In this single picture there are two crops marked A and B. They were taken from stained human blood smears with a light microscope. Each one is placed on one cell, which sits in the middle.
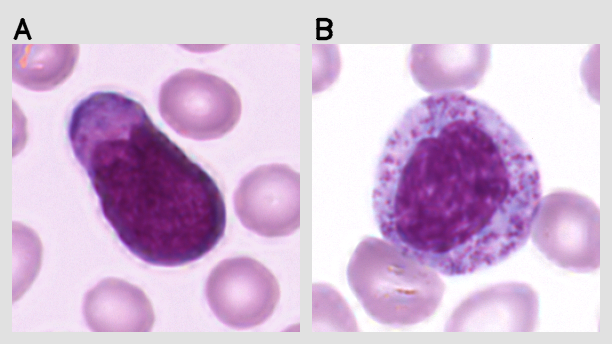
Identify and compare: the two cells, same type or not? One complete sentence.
No, it is an atypical promyelocyte that crop A shows, and a myelocyte that crop B shows.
